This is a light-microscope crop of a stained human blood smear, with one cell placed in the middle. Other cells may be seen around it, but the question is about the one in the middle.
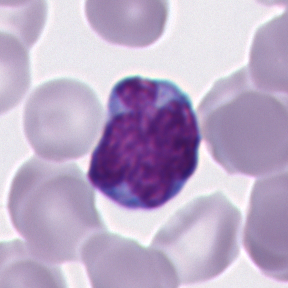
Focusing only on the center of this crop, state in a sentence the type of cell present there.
The cell sitting right in the middle is a typical lymphocyte.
